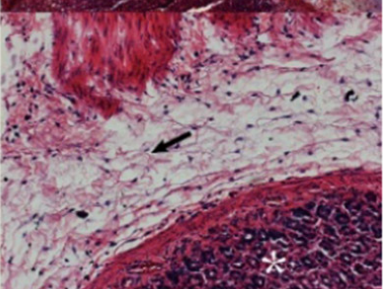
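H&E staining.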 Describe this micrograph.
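Here a wide pale layer of loose, wispy connective tissue with sparse nuclei occupies most of the field, with a fragment of pink muscle at the top. In the lower right corner lies mucosa with purple-staining glandular cells.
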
